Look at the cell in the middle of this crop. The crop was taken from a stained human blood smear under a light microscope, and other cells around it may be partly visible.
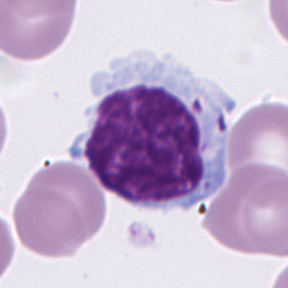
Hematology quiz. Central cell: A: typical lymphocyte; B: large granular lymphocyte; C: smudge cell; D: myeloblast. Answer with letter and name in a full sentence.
What sits in the middle of the crop is a large granular lymphocyte, and option B is correct.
